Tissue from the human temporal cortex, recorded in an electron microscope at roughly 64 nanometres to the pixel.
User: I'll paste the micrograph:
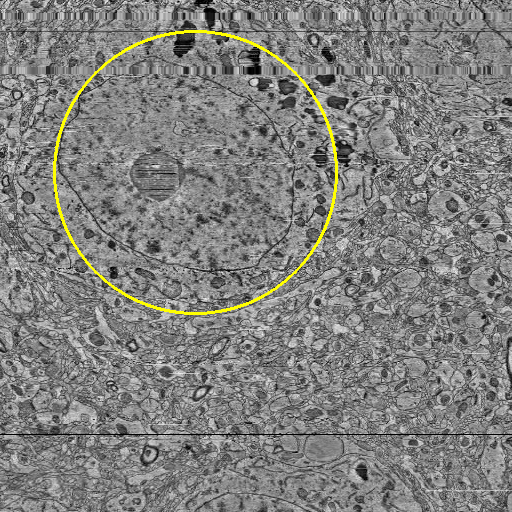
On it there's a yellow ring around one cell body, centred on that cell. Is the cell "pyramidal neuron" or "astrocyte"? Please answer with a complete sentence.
The cell ringed in yellow is a pyramidal neuron.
